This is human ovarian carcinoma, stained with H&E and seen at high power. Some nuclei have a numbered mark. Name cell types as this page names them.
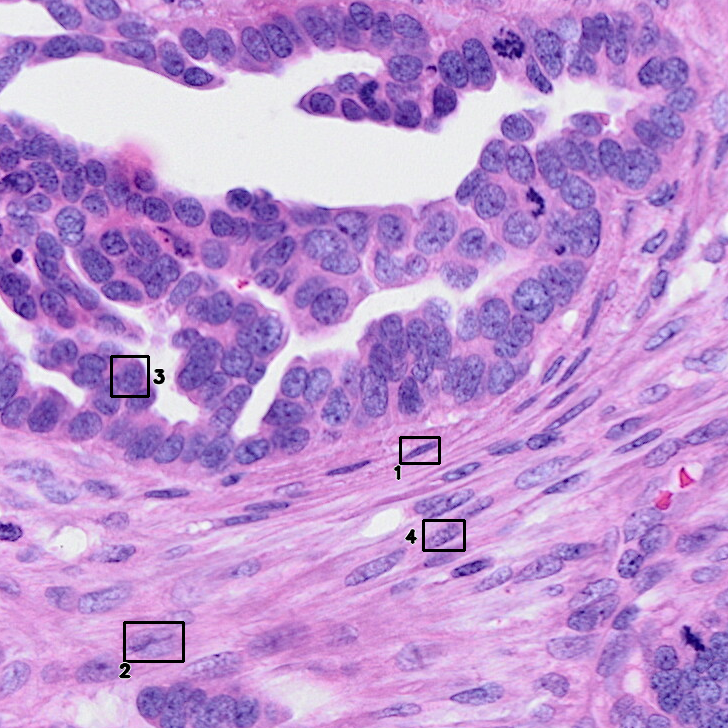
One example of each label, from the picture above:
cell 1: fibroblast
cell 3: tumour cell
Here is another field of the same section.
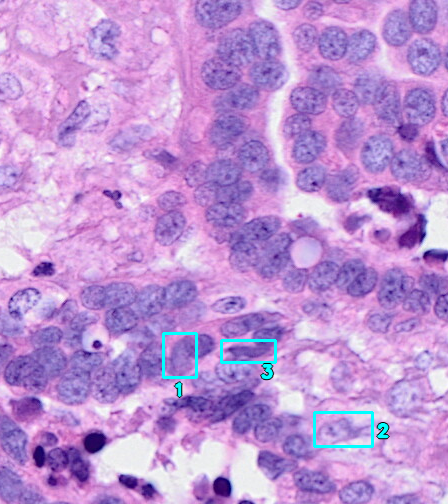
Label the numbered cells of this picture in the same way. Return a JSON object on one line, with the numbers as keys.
{"1": "tumour cell", "2": "fibroblast", "3": "tumour cell"}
